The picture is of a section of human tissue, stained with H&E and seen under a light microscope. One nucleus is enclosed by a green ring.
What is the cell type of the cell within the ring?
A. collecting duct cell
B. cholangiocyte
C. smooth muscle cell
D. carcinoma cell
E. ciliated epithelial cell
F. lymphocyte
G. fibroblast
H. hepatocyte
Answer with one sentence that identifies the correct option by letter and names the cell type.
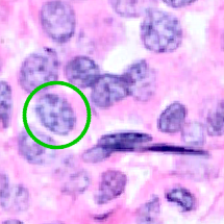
The choice that fits is option D, as the cell within the ring is a carcinoma cell.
